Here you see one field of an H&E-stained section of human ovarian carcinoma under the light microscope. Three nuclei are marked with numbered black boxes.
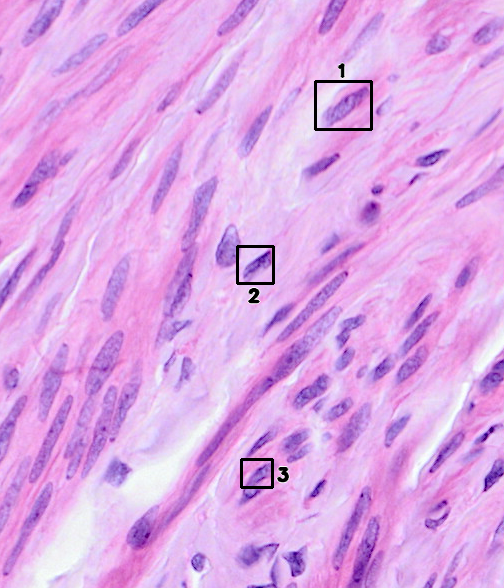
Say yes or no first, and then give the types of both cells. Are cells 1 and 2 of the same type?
No, cell 1 is a smooth muscle cell, and cell 2, in contrast, is a fibroblast.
